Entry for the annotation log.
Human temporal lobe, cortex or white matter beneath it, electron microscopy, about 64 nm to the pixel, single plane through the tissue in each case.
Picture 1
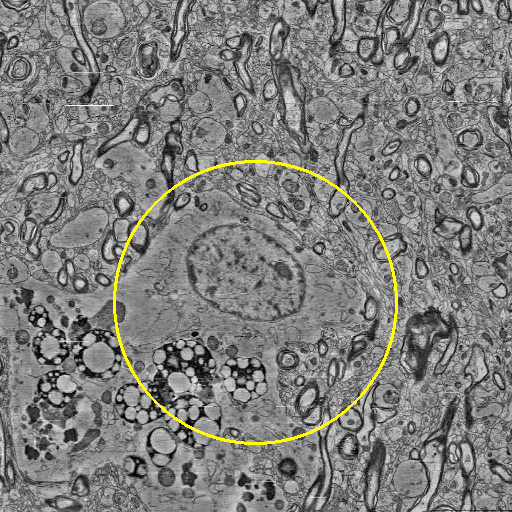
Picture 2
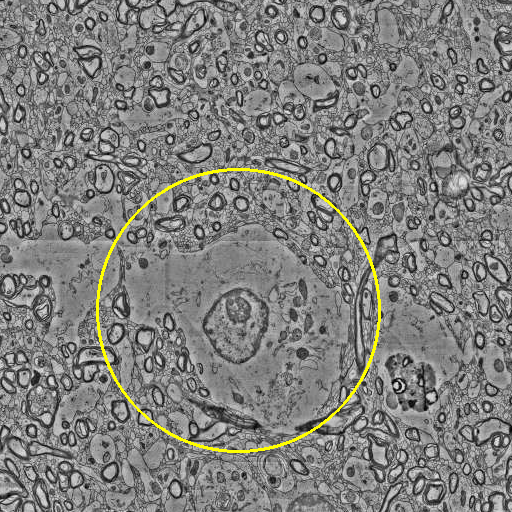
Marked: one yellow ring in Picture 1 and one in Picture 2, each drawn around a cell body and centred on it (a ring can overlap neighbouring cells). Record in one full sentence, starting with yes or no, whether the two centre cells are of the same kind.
Yes, both cells are of the same kind.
